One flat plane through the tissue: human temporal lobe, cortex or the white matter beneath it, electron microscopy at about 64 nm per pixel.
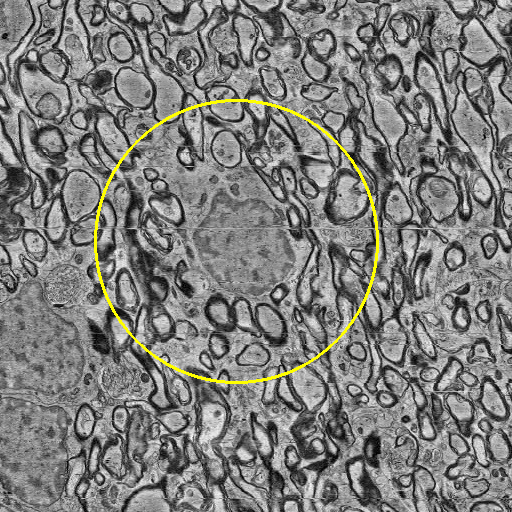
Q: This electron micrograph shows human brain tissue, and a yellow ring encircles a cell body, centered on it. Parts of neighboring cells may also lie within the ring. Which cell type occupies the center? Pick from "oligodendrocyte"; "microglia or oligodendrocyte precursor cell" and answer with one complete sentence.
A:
What sits at the ring's center in this micrograph is an oligodendrocyte, among those choices.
